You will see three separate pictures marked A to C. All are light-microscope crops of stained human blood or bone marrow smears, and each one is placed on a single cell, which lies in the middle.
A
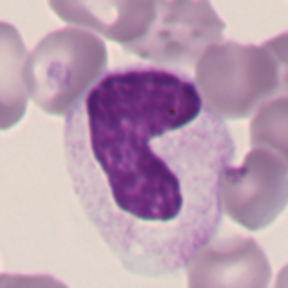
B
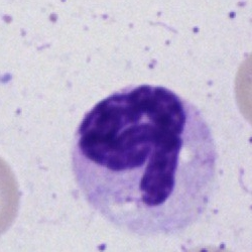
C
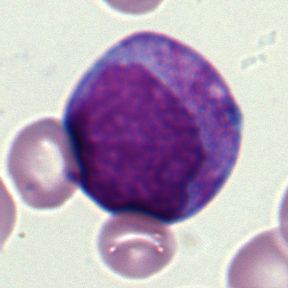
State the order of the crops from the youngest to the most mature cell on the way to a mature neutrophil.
C, A, B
